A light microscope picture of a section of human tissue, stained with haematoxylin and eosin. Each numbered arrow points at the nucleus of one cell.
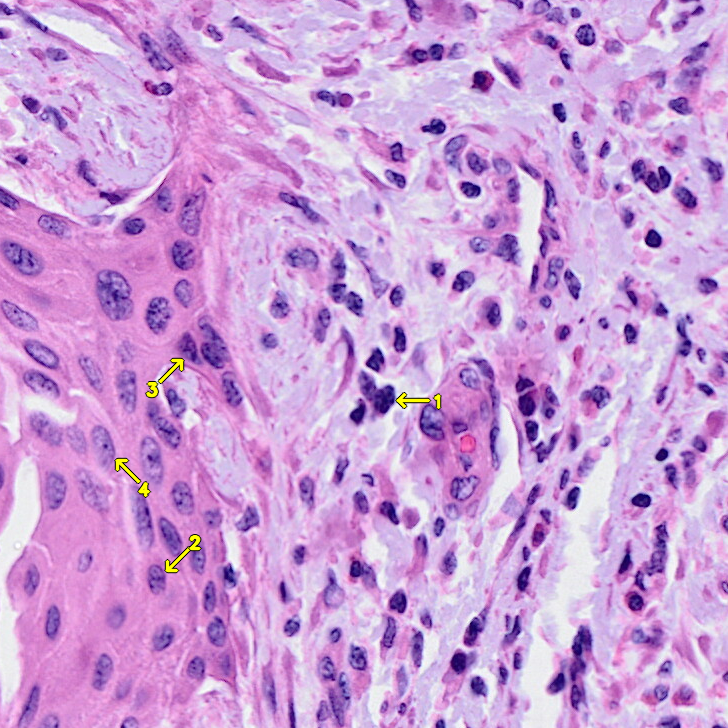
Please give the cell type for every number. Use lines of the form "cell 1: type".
cell 1: lymphocyte
cell 2: squamous carcinoma cell
cell 3: squamous carcinoma cell
cell 4: squamous carcinoma cell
